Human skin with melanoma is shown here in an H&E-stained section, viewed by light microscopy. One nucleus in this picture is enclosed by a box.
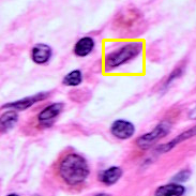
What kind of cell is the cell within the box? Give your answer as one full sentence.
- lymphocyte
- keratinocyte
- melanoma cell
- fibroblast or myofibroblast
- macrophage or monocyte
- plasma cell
As for its identity, the cell within the box is a macrophage or monocyte.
